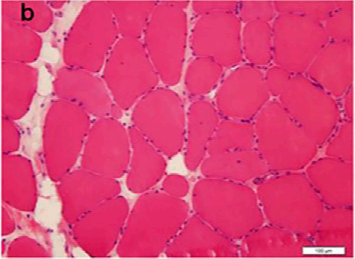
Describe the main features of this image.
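This is skeletal muscle cut across, and it shows dystrophic changes. The pink fibers are rounded rather than neatly polygonal, and they differ greatly in size: some are large, others are small and lie among them. Between fibers and bundles there are wide pale areas, and on the left a broad pale zone with few nuclei, suggesting fibrosis and fat replacement. The dark nuclei sit mostly at the fiber edges and in the spaces between fibers.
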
